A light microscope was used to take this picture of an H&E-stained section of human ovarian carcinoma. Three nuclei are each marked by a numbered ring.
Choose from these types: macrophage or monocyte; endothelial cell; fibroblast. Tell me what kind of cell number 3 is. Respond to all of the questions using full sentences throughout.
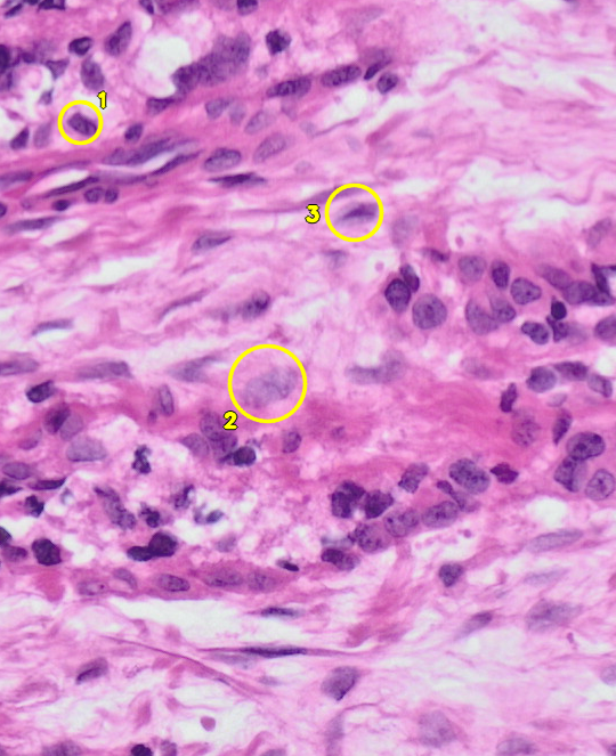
The marked cell with the number 3 is recognised as a fibroblast.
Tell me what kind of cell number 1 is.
The cell carrying label 1 is identified as a macrophage or monocyte.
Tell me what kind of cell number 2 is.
The cell with the number 2 is a fibroblast.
